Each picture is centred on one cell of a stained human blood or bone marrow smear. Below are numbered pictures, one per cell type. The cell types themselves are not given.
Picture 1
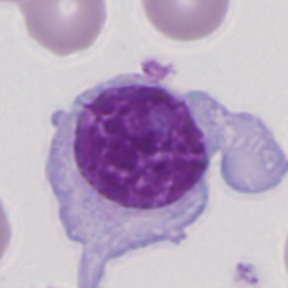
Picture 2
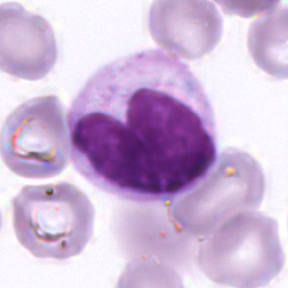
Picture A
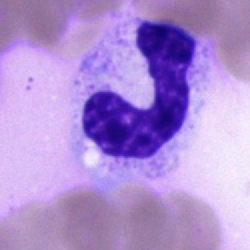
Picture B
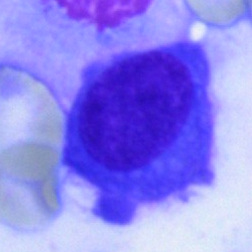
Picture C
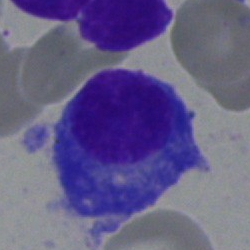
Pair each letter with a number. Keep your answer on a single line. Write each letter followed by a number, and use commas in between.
A 2, B 1, C 1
